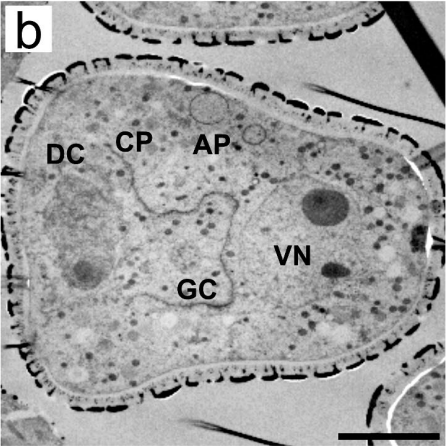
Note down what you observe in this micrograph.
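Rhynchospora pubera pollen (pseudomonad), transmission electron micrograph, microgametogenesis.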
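A thin, winding cell plate sets apart a small generative cell, and a degenerative cell with its own nucleus lies at one end. The vegetative cytoplasm is crowded with small dark organelles and a few membrane-bound rounded bodies.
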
